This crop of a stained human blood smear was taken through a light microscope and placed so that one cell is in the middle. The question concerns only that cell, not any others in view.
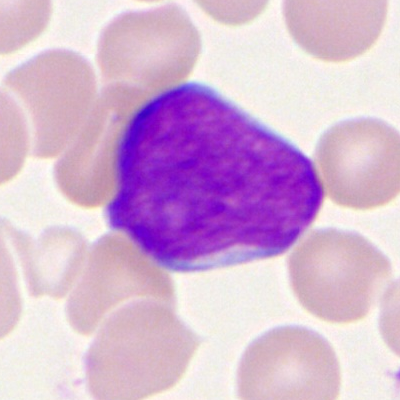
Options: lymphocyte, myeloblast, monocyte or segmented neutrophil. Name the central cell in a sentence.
Whatever else lies nearby, the middle cell is a myeloblast.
